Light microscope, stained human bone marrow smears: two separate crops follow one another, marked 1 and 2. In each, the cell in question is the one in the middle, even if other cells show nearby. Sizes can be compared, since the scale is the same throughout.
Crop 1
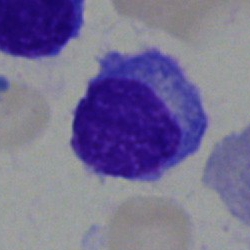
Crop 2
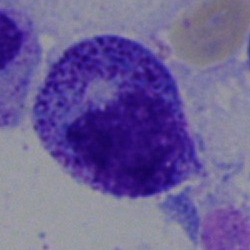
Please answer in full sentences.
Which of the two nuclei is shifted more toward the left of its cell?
It is the nucleus in crop 1 that lies further toward the left of its cell.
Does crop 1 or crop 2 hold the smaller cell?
Crop 1 holds the smaller cell, since the cell in crop 2 covers about 1.5 times as much area.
